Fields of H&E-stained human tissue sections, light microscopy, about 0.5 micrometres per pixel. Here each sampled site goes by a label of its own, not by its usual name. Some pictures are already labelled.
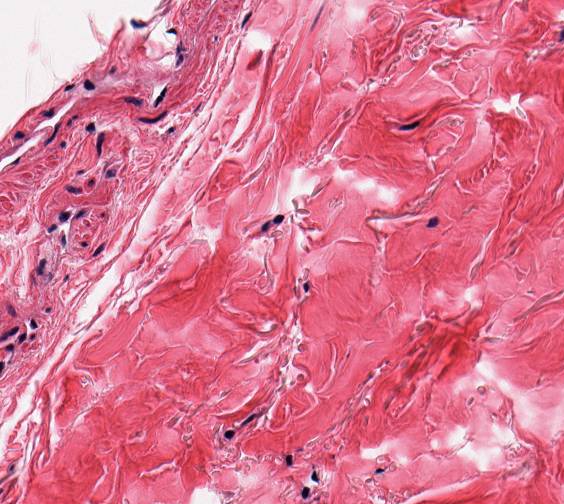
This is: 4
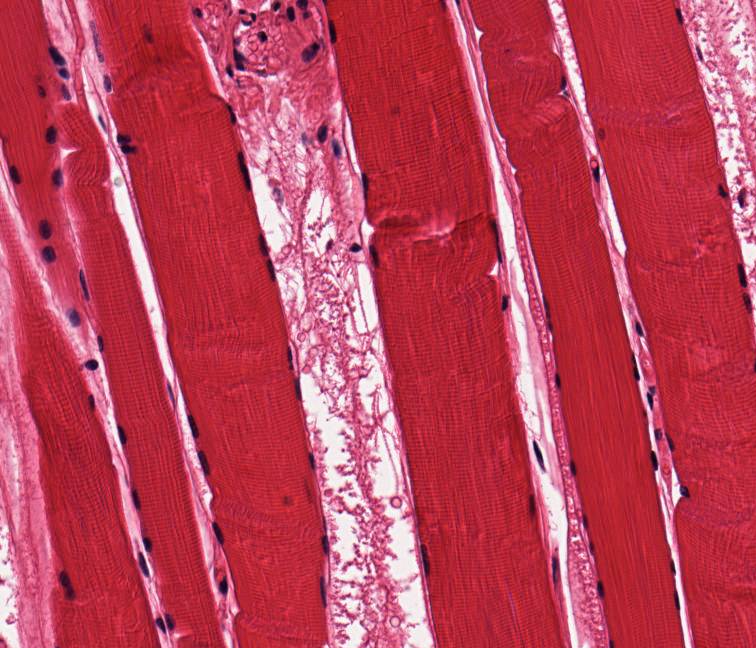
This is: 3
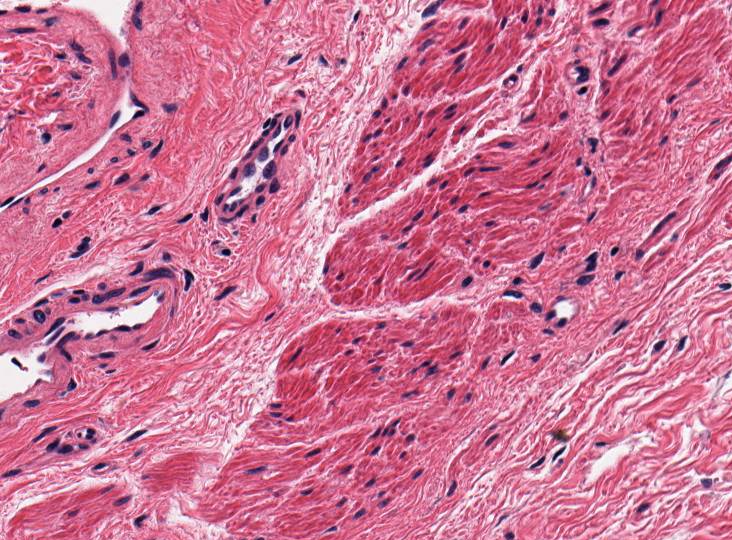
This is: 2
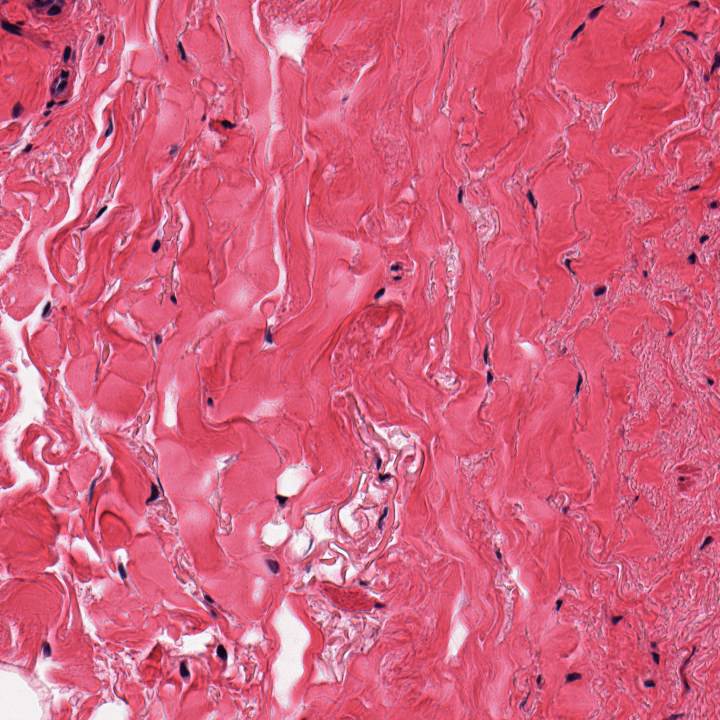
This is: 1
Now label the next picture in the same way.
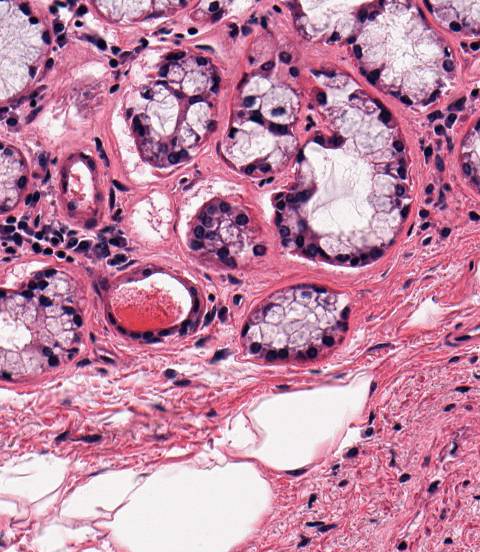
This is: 2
